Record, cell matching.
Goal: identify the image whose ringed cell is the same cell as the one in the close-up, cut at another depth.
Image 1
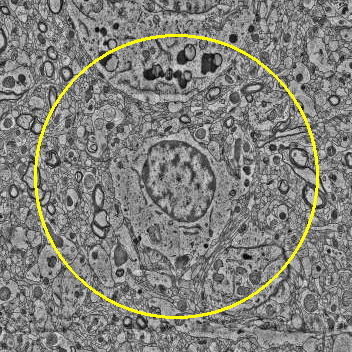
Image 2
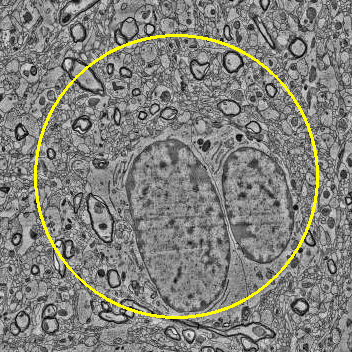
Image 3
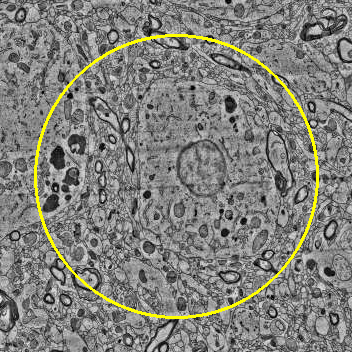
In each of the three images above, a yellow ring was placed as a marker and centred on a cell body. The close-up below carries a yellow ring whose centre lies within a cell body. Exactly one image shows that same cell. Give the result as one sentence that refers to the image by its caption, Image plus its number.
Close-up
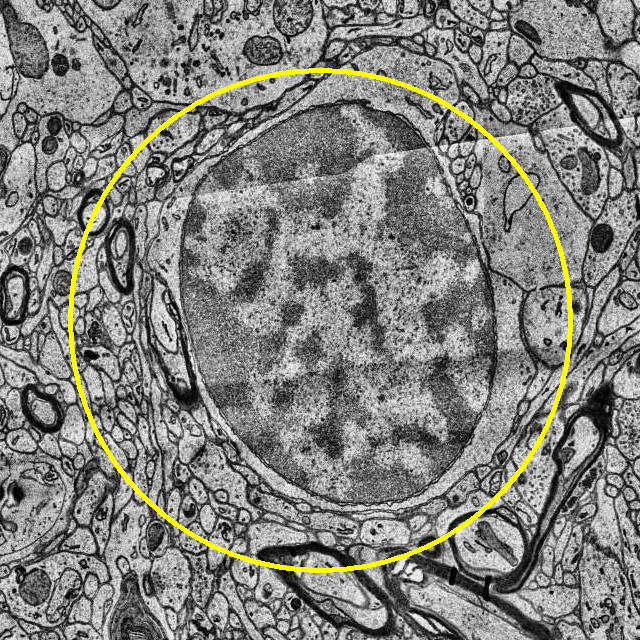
The cell under magnification is the ringed one in Image 3.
